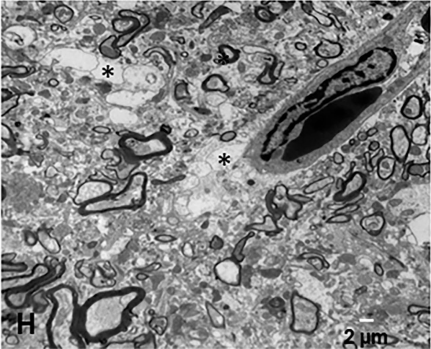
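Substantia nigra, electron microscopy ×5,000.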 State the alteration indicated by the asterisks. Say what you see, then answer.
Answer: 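The asterisks sit on pale, empty-looking spaces in the neuropil. The spaces lie beside a capillary with a dark elongated nucleus. Cross-sectioned axons with dark myelin rings surround the area.
Hence: the perivascular neuropil is fragmented and vacuolated.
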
